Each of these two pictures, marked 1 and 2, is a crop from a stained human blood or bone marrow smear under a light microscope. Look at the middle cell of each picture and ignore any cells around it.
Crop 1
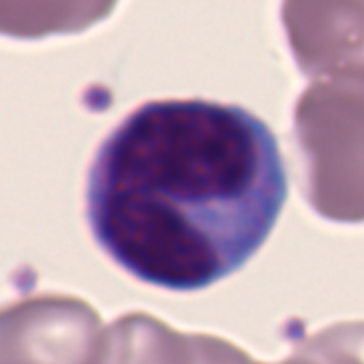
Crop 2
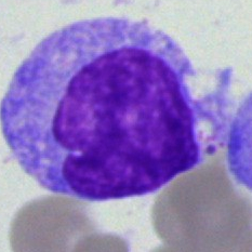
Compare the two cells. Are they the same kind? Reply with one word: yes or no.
yes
